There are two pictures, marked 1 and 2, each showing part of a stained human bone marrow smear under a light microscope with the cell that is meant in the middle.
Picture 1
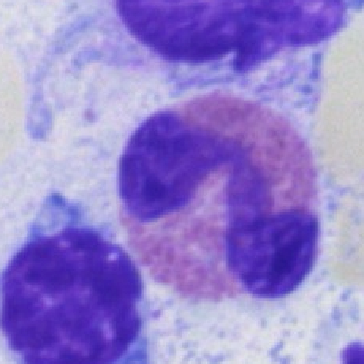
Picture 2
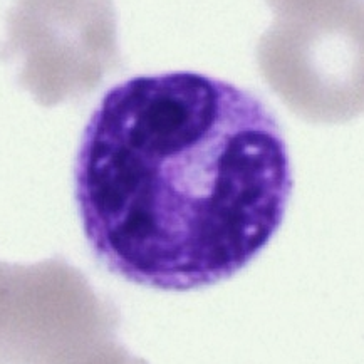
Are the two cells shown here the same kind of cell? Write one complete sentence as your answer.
No. Picture 1 shows an eosinophil, but picture 2 shows a band neutrophil.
